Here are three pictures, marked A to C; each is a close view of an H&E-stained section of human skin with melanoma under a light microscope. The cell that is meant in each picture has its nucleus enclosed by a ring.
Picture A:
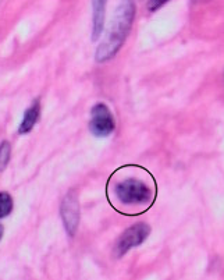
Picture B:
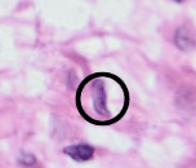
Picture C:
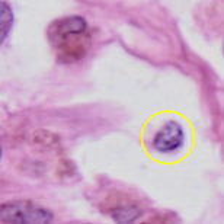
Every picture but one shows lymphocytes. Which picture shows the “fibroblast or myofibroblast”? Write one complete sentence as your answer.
The “fibroblast or myofibroblast” is the one in picture B.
